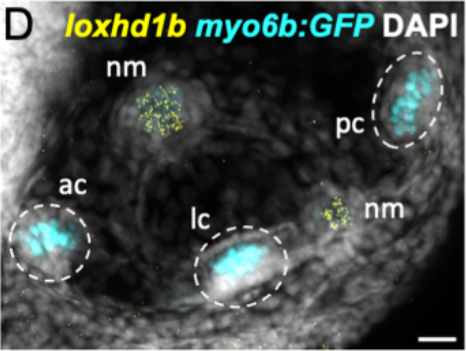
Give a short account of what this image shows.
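Three outlined sensory patches of the ear hold compact groups of cyan hair cells with no yellow puncta over them. Beside them lie small rounded clusters of cells, the neuromasts, whose centres are thickly covered with yellow puncta, set among grey nuclei of surrounding tissue.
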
